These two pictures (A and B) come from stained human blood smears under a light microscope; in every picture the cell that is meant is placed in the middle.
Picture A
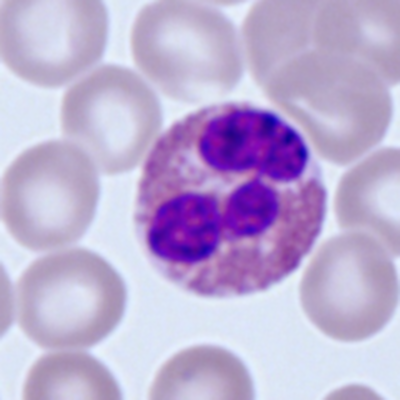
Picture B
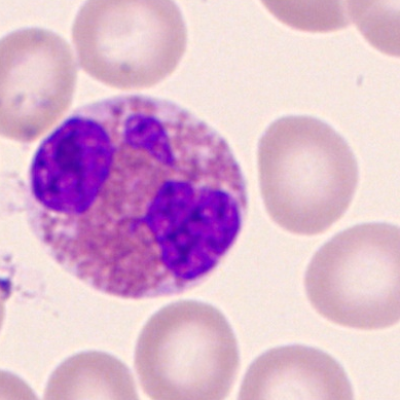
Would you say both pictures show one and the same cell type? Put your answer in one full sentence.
Yes, the two pictures both show eosinophils.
